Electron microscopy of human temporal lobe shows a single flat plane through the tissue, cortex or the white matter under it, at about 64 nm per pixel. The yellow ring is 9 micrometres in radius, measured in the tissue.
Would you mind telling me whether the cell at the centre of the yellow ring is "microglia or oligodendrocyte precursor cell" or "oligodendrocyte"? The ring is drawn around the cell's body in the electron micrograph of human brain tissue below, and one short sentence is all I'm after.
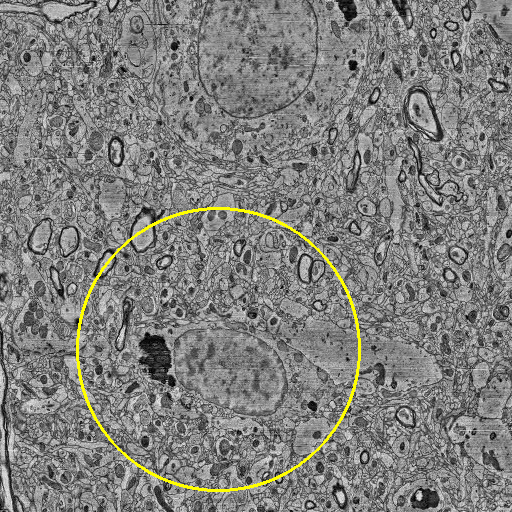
In the centre of the ring lies an oligodendrocyte.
